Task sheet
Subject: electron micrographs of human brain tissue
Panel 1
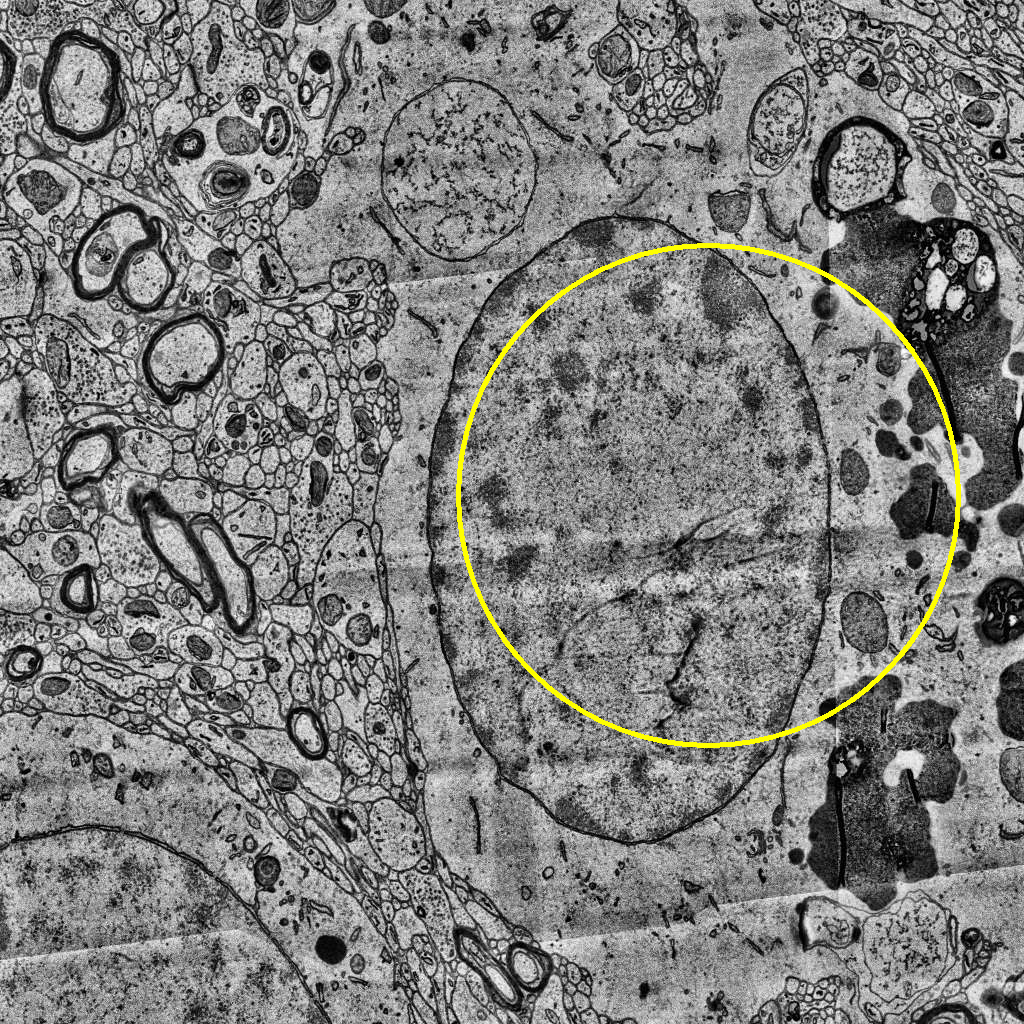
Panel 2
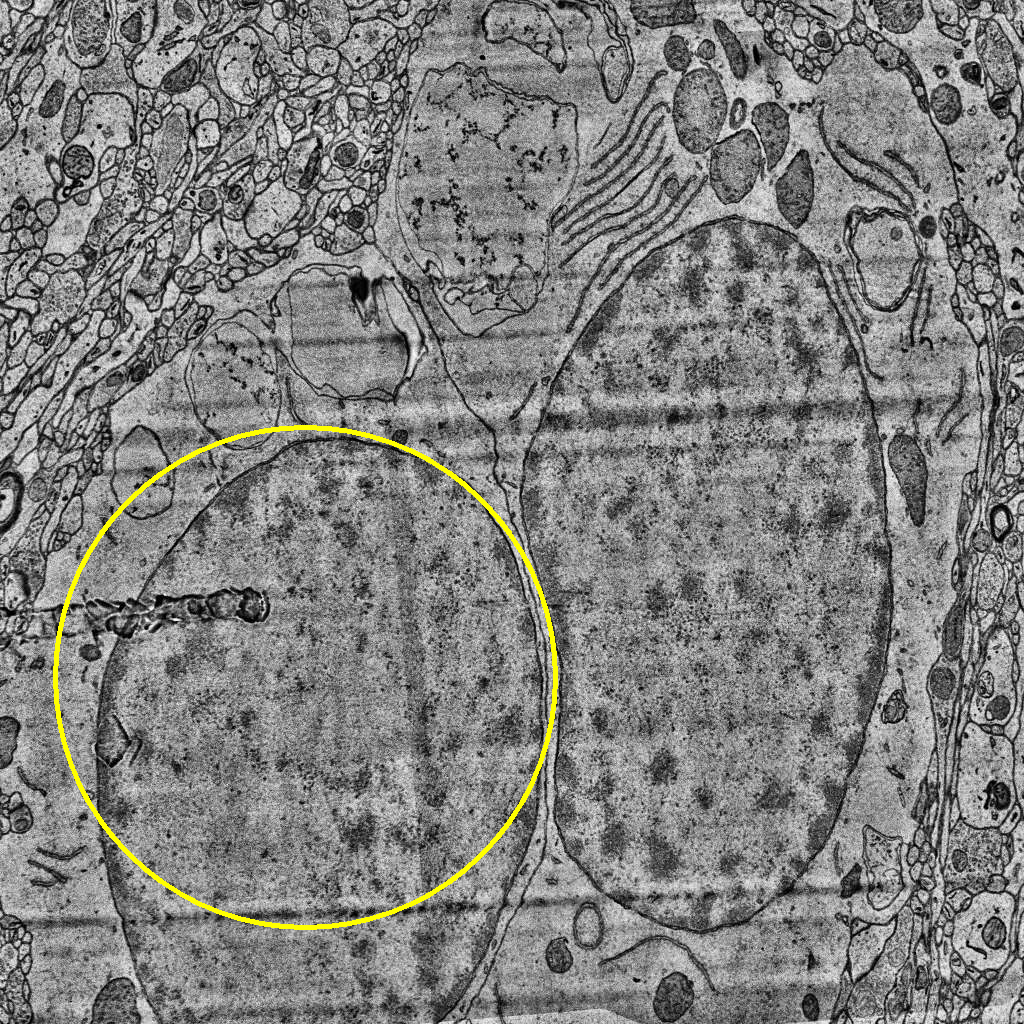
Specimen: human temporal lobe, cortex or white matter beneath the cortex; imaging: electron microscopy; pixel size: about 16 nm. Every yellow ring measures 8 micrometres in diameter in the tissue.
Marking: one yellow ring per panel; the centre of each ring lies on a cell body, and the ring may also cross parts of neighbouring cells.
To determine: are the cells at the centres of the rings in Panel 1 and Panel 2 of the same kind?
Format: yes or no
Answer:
yes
